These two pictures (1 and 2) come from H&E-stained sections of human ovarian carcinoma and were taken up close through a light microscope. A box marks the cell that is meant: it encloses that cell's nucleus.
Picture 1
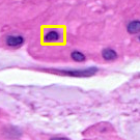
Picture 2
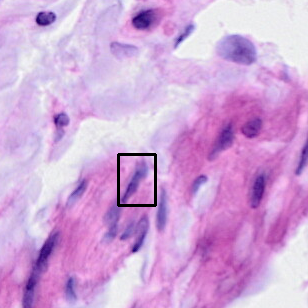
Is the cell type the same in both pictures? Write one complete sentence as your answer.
Yes, both cells are smooth muscle cells.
